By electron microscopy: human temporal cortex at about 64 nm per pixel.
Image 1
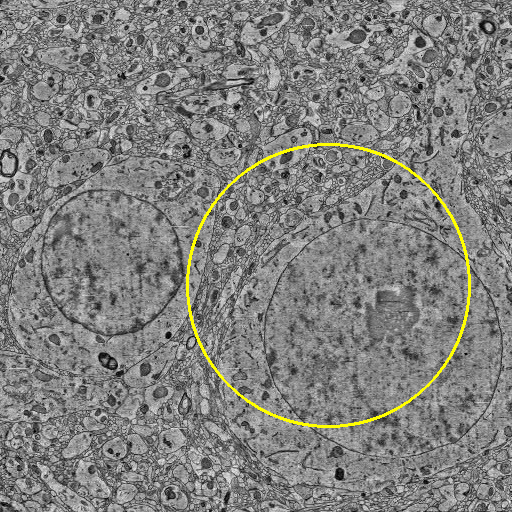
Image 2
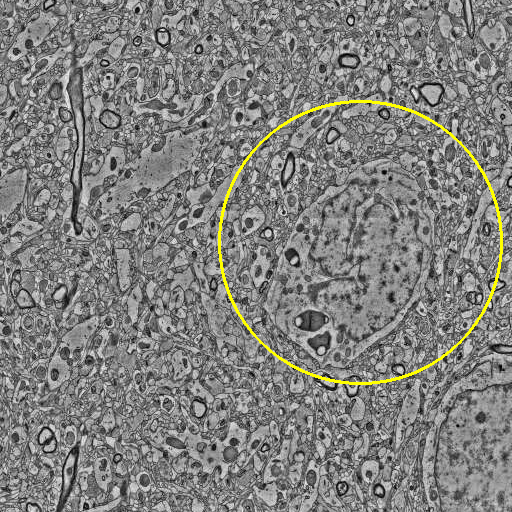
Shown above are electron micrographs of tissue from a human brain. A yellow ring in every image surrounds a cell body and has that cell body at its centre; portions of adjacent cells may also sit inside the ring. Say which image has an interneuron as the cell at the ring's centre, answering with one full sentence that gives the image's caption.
The image whose ring is centred on the requested cell is Image 2.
